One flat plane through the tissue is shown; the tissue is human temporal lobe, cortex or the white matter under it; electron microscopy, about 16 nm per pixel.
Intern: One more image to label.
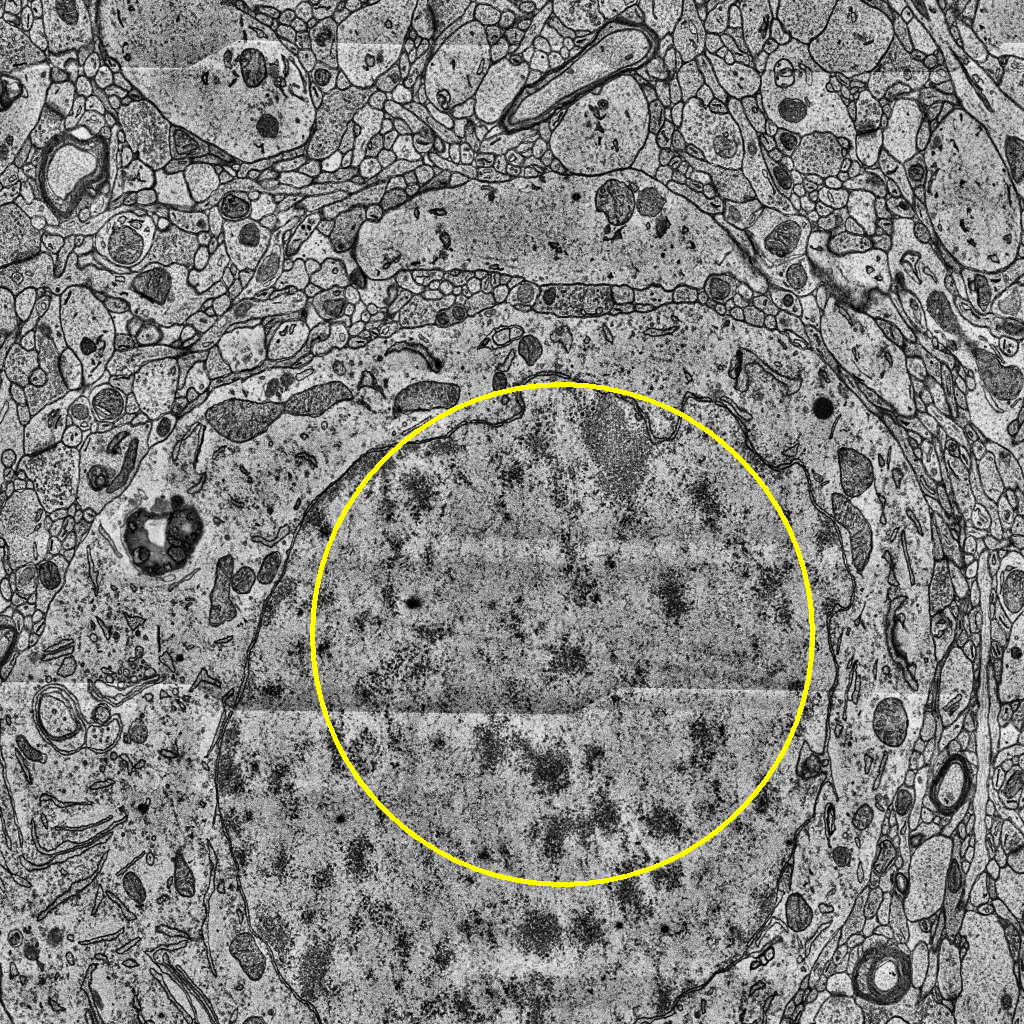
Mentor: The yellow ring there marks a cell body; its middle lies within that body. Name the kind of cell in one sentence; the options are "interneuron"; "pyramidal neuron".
The ring marks the cell body of an interneuron.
